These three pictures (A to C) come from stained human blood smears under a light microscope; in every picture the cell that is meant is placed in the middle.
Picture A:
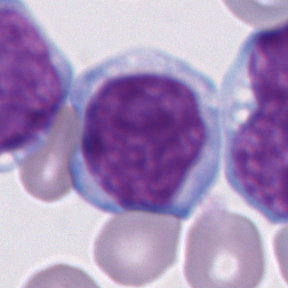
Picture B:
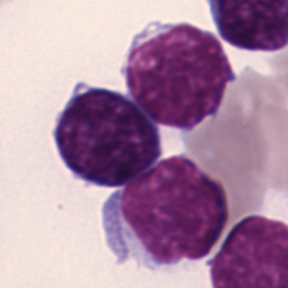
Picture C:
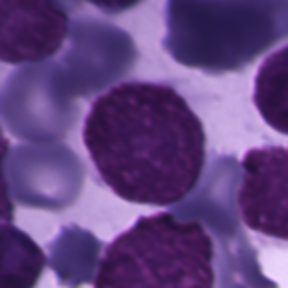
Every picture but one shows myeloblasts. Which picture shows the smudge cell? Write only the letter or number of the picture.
C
